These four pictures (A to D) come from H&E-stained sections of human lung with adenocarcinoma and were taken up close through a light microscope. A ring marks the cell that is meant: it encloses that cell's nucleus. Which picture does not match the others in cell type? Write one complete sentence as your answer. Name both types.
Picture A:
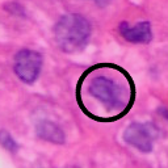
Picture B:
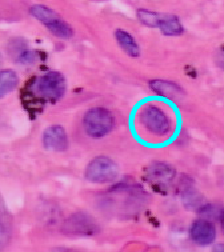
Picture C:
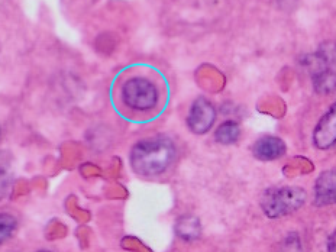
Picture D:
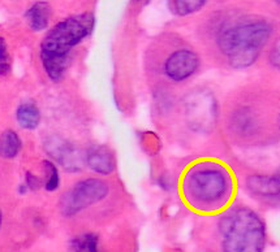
The others show “macrophages or monocytes”, but picture B shows a mast cell.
